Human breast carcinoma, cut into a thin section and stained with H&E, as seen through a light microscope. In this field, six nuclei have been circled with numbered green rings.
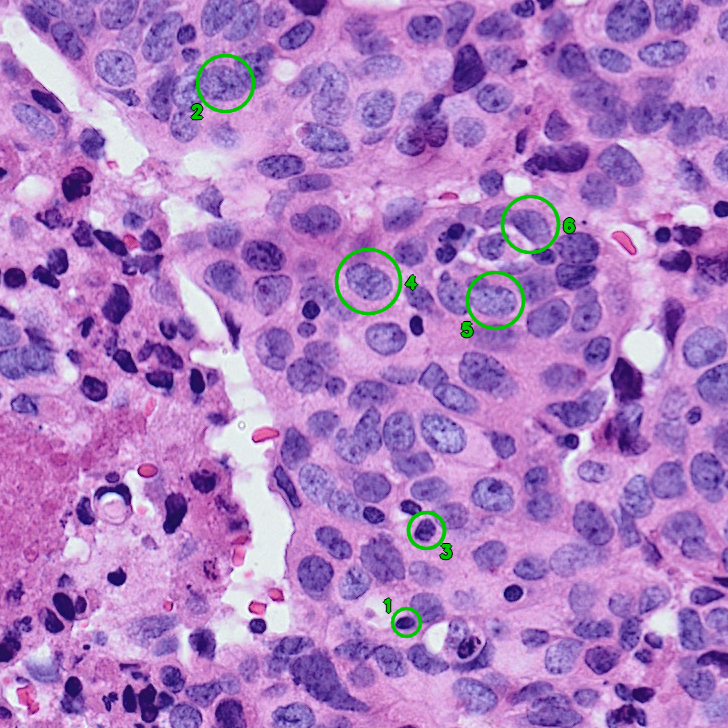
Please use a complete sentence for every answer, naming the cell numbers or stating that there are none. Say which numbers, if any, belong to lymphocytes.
The cells identified by the numbers 1 and 3 are lymphocytes.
